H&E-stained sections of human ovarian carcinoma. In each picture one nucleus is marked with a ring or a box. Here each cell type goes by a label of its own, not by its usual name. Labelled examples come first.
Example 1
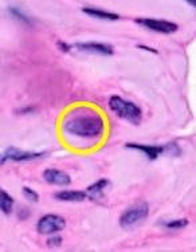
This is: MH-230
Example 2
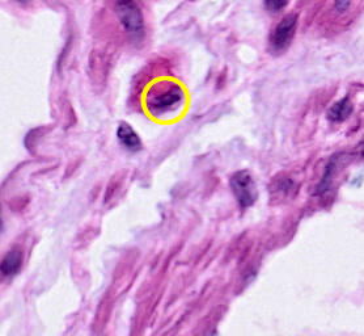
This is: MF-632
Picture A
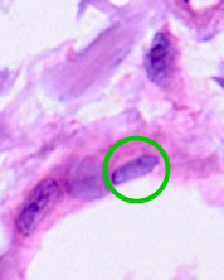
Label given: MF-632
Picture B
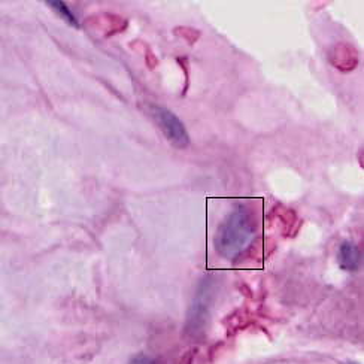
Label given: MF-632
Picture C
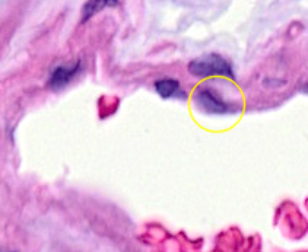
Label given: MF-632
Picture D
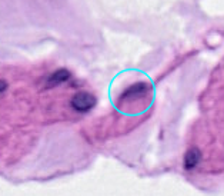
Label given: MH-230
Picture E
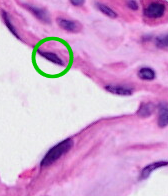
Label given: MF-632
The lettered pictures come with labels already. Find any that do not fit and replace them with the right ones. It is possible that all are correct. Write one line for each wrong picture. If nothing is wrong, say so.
Every label is right.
